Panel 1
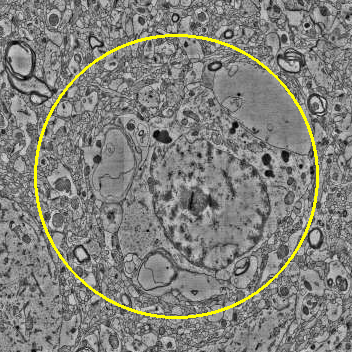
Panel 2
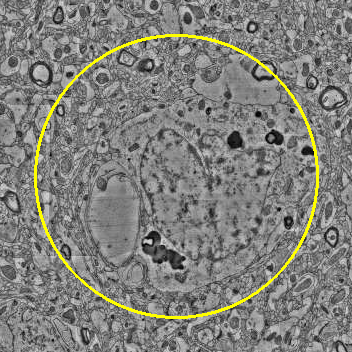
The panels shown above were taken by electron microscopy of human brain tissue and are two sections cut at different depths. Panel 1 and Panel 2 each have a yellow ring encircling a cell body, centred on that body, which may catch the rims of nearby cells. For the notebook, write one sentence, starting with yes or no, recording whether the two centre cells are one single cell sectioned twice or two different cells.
Yes, one cell appears twice, once in each ring.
